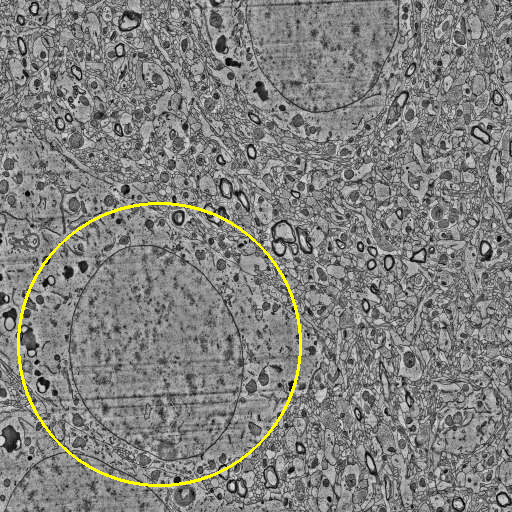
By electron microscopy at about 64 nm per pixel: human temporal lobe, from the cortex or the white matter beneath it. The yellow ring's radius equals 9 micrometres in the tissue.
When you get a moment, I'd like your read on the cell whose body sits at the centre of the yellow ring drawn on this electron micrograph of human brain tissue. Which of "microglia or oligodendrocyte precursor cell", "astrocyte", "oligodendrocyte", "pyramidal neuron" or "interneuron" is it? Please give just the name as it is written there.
pyramidal neuron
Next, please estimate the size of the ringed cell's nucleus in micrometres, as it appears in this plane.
In this plane the nucleus measures roughly 14 by 11 micrometers.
